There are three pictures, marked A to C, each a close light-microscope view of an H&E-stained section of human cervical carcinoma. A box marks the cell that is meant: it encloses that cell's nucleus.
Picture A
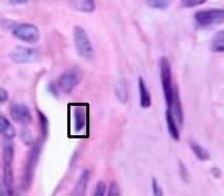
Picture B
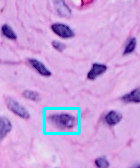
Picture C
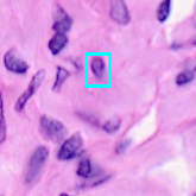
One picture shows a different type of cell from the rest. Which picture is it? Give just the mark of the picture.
A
